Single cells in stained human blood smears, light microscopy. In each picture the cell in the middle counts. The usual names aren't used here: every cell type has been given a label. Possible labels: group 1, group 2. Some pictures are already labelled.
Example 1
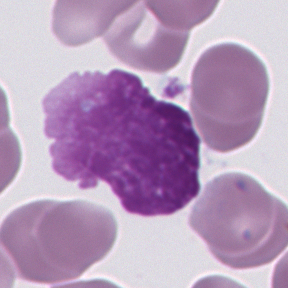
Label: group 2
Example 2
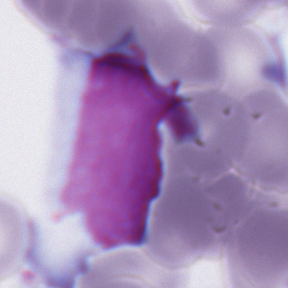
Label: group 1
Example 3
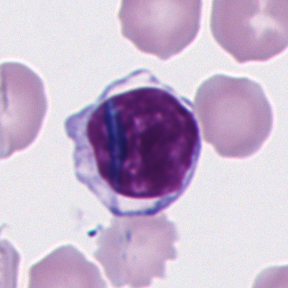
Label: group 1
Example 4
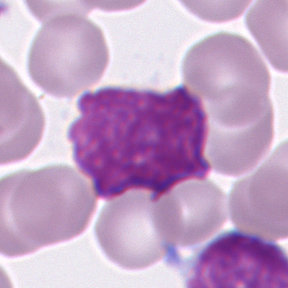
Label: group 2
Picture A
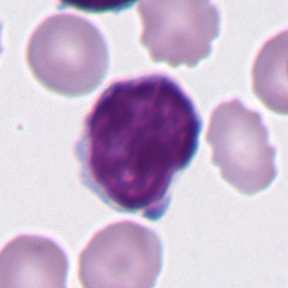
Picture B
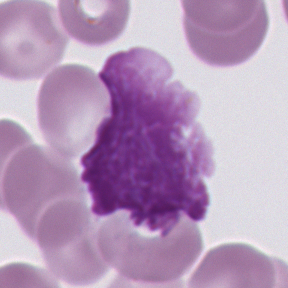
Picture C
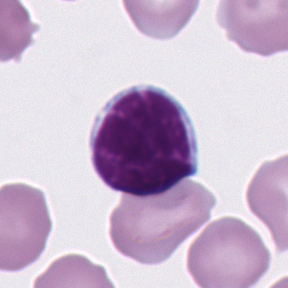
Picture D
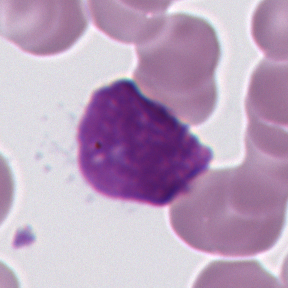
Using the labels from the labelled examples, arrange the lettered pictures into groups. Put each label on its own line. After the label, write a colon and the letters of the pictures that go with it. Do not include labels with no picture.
group 1: A, C
group 2: B, D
